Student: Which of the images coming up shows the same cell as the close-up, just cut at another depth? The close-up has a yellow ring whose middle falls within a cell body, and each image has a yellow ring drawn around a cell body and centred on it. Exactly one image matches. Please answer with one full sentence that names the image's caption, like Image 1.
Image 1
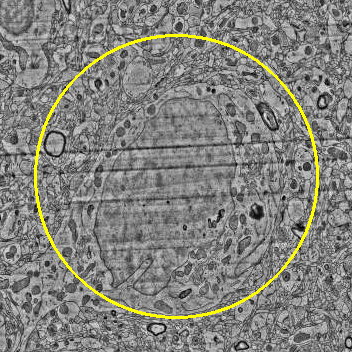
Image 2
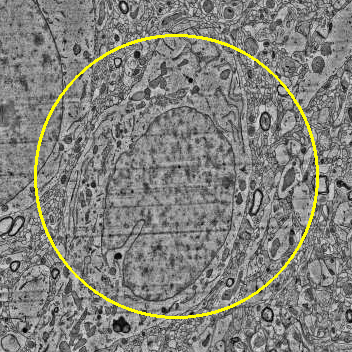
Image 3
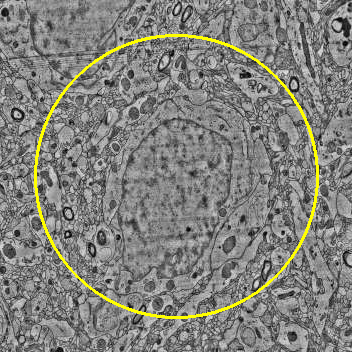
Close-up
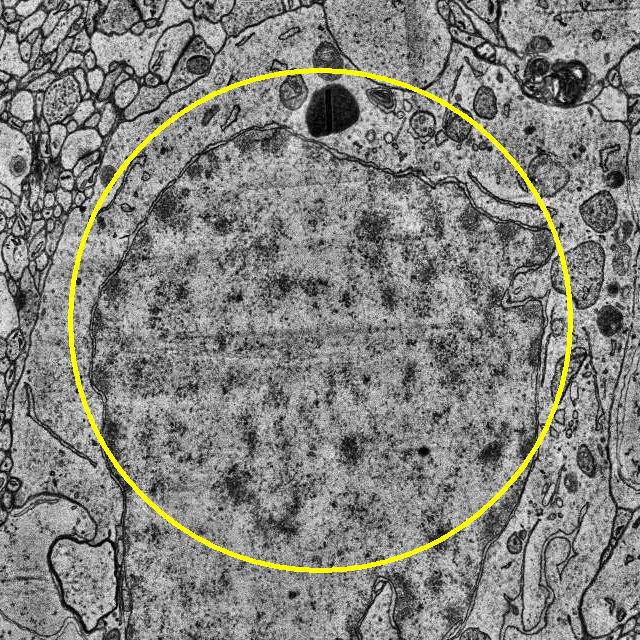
The cell of the close-up is the one in Image 3.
